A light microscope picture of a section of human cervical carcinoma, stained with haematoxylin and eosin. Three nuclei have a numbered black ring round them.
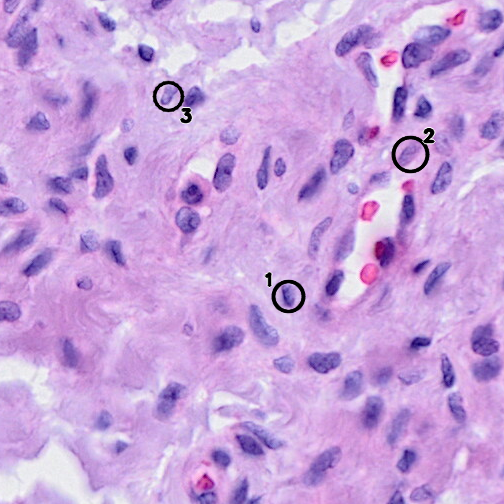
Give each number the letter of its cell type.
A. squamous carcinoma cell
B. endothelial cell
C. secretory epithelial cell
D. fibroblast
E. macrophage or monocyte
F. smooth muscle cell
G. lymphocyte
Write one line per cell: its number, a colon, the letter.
1: D
2: B
3: D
